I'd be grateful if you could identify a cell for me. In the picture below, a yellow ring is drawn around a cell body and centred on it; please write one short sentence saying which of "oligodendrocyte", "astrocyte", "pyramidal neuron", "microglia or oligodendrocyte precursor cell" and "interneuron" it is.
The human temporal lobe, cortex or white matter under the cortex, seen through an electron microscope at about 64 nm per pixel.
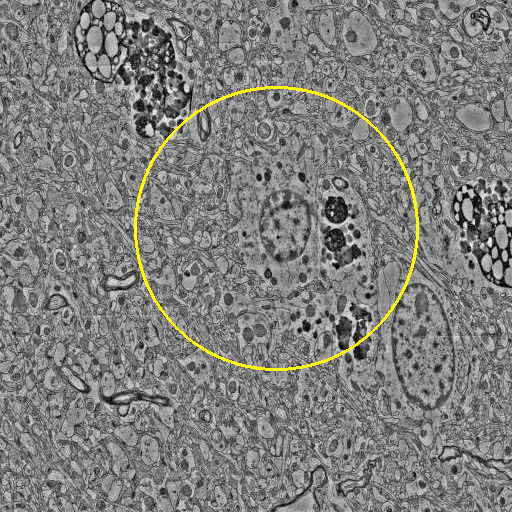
The cell under the ring's centre is an astrocyte.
